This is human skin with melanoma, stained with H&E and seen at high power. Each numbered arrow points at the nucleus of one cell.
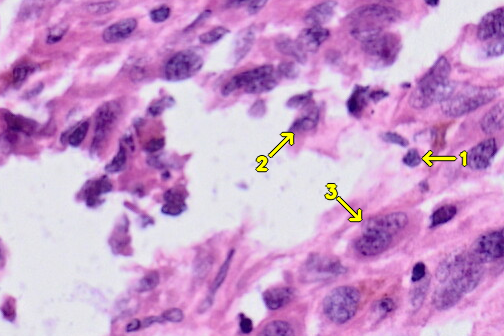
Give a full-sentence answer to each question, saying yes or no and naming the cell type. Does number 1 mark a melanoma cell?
No, with respect, cell 1 is a lymphocyte rather than a melanoma cell.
